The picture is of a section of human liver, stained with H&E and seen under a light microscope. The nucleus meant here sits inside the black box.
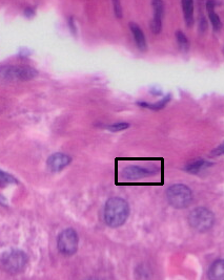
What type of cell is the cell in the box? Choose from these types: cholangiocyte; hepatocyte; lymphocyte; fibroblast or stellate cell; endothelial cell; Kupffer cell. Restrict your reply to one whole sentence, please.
Typologically, the cell in the box is a fibroblast or stellate cell in this section.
